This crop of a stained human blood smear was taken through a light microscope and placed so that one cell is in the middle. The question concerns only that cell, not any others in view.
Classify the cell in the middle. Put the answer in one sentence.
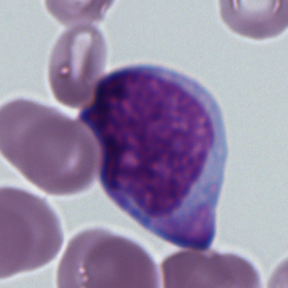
The cell in the middle of this crop is an atypical promyelocyte.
